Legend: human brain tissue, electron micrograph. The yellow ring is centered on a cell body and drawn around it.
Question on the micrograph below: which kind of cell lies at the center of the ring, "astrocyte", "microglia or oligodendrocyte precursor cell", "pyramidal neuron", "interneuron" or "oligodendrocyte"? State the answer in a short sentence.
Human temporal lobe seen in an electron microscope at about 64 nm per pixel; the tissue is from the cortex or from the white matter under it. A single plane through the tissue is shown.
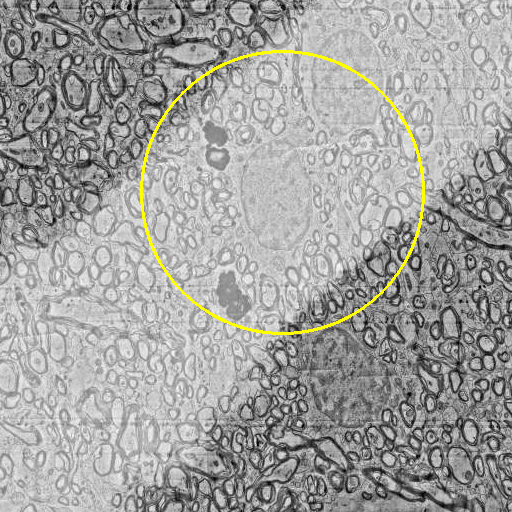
At the center of the ring lies an oligodendrocyte.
